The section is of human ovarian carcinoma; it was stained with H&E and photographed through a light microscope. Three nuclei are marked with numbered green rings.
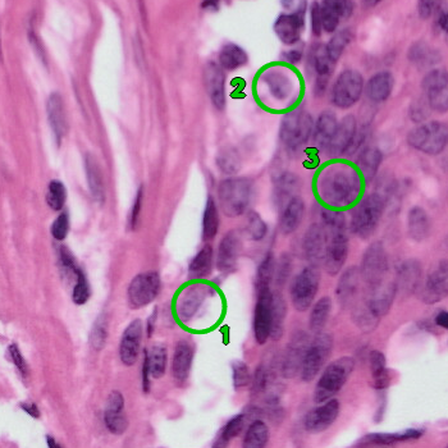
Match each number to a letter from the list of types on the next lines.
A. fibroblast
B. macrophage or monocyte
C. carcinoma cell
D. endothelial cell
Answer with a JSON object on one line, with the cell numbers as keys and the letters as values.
{"1": "C", "2": "B", "3": "C"}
